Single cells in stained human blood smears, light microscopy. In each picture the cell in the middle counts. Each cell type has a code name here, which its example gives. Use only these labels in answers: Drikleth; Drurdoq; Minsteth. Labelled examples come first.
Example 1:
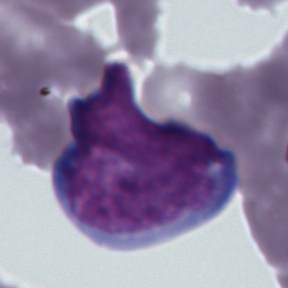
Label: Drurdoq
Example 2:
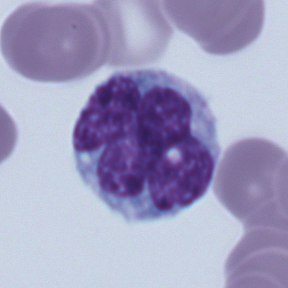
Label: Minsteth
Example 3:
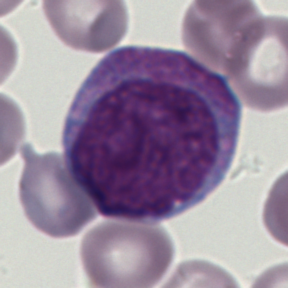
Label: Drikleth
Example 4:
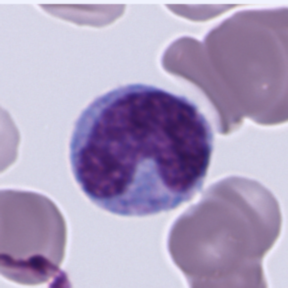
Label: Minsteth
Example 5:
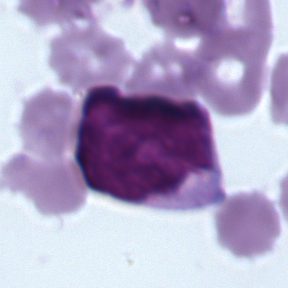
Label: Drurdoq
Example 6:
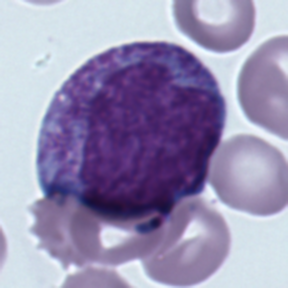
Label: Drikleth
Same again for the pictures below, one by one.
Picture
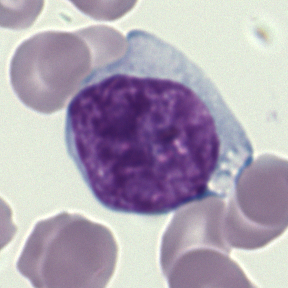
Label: Drurdoq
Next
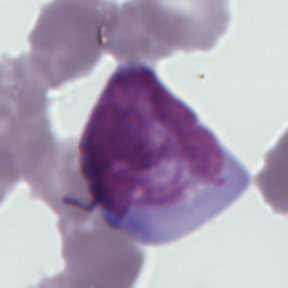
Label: Drurdoq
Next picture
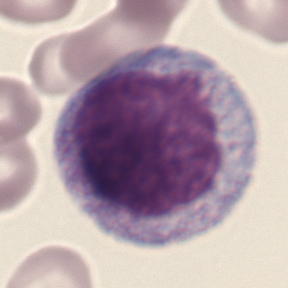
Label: Drikleth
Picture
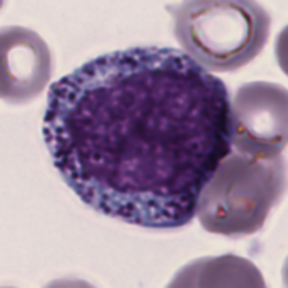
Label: Drikleth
